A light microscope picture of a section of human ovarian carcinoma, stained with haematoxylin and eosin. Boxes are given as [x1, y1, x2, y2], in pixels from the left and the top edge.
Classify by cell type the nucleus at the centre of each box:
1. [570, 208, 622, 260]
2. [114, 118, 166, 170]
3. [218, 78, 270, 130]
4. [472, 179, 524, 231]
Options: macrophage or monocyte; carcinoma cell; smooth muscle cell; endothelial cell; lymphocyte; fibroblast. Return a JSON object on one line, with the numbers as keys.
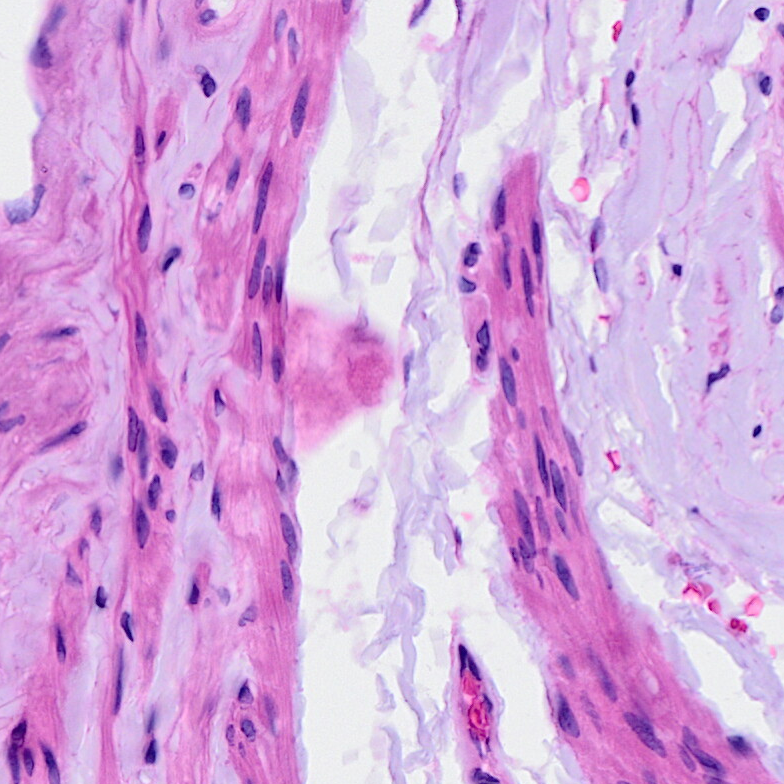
{"1": "fibroblast", "2": "smooth muscle cell", "3": "smooth muscle cell", "4": "smooth muscle cell"}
